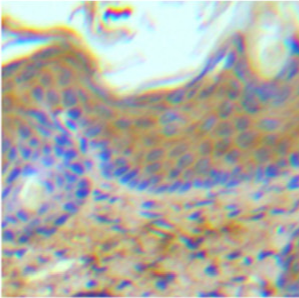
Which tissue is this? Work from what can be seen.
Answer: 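A stratified layer of closely packed epithelial cells lies on top of a looser connective tissue. The surface of the layer is lined by a thin cornified rim. The answer: epidermis.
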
